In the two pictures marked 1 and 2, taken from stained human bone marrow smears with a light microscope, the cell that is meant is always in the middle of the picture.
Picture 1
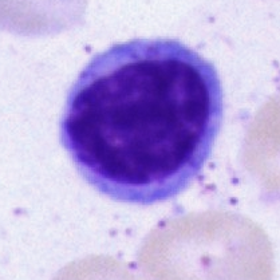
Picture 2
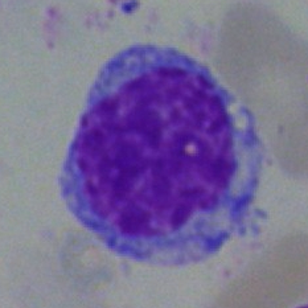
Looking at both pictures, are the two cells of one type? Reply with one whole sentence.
No, the types are not the same, since picture 1 shows a lymphocyte and picture 2 a plasma cell.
